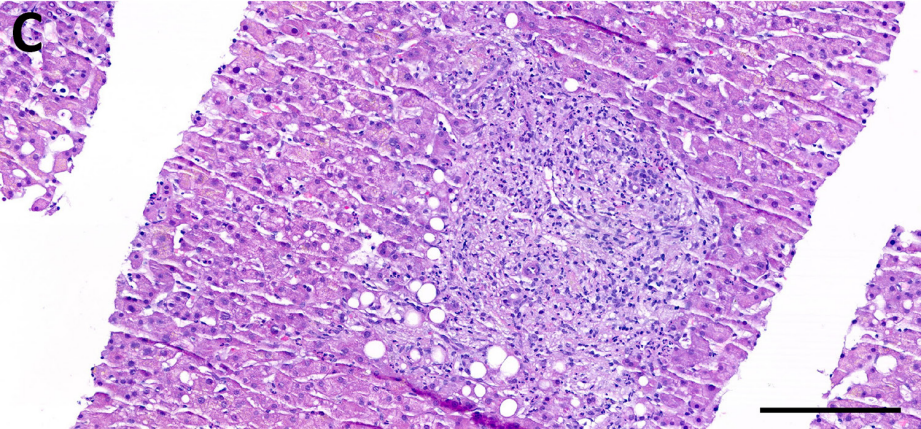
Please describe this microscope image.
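This liver tissue shows cords of pink hepatocytes with round central nuclei surrounding an expanded portal area in the middle. The portal area has a pale, loose stroma with many small dark inflammatory nuclei and small duct-like cell groups. Clear round vacuoles of fat lie in hepatocytes at its lower edge.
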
